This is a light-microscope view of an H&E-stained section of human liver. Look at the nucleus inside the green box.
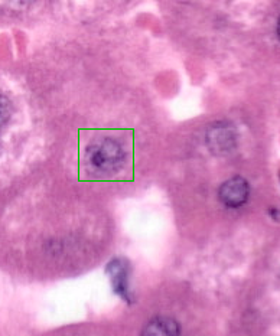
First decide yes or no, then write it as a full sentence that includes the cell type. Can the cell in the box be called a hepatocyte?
Yes, put very simply, the cell in the box is a hepatocyte.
